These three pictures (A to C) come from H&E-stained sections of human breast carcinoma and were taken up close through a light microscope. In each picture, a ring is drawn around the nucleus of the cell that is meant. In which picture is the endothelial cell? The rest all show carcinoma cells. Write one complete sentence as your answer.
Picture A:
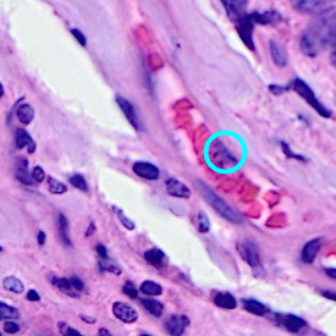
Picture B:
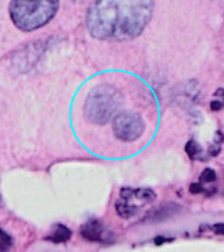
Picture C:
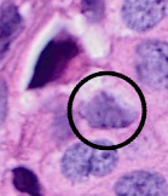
It is picture A that shows the endothelial cell.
